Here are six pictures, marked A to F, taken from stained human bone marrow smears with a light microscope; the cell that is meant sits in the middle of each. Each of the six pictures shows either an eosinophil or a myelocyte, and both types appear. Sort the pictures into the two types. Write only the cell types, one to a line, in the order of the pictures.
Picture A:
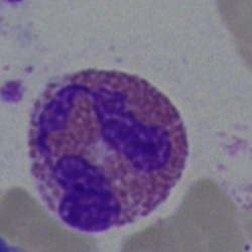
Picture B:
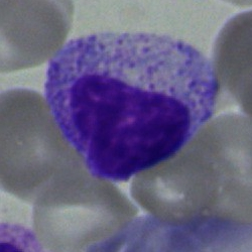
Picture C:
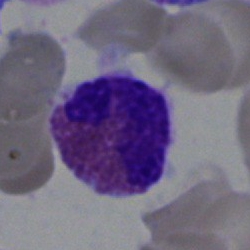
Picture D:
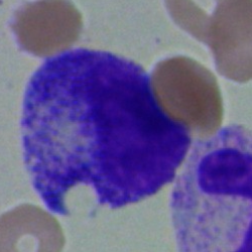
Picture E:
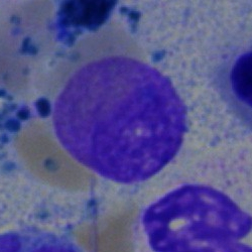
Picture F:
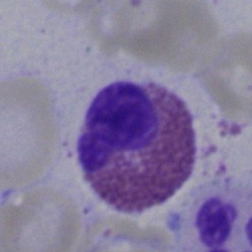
eosinophil
myelocyte
eosinophil
myelocyte
eosinophil
eosinophil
